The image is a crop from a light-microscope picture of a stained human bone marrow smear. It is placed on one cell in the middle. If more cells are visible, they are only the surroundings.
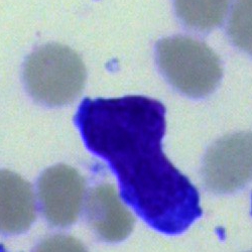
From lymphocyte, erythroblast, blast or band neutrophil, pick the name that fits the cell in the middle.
blast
